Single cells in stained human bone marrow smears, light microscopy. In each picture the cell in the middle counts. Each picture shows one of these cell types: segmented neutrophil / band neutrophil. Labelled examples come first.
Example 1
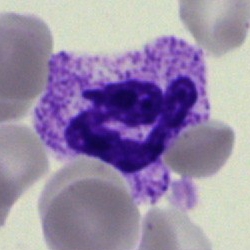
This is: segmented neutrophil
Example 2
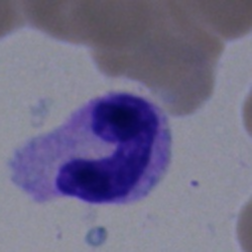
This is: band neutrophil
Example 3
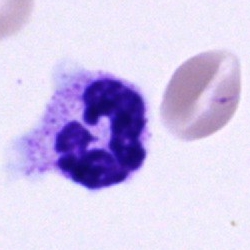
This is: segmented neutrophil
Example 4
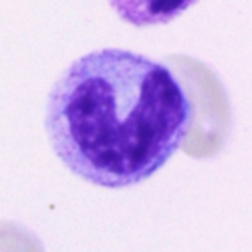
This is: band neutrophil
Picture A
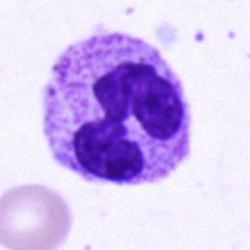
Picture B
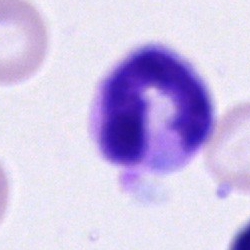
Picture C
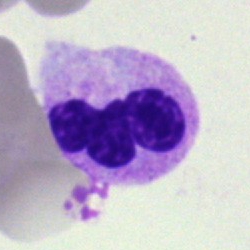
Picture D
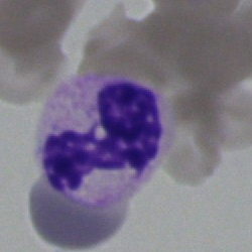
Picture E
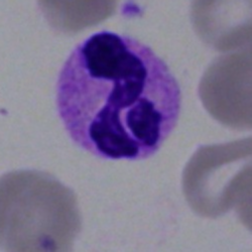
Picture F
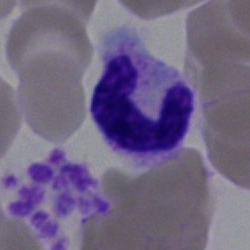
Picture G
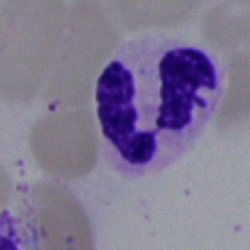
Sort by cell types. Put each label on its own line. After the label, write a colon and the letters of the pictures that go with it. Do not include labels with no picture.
segmented neutrophil: A, C, D, E, F, G
band neutrophil: B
